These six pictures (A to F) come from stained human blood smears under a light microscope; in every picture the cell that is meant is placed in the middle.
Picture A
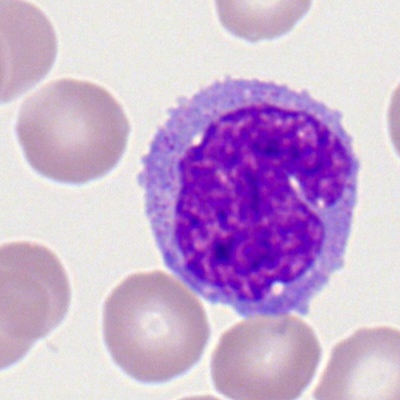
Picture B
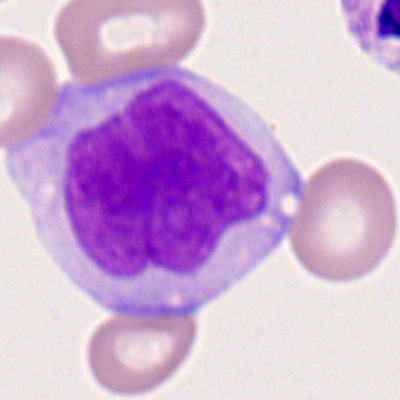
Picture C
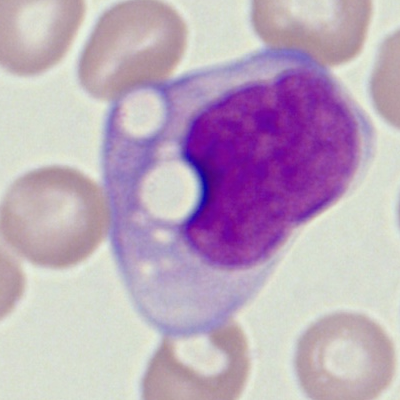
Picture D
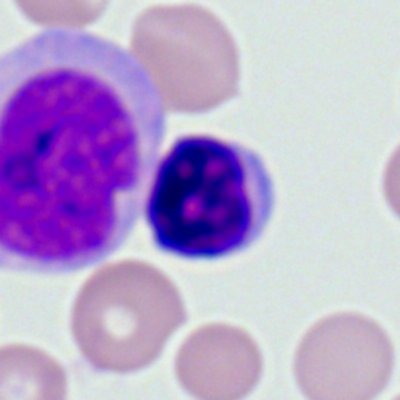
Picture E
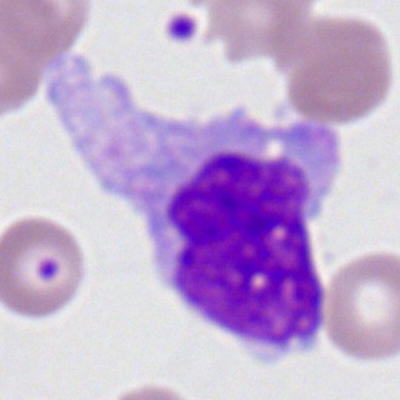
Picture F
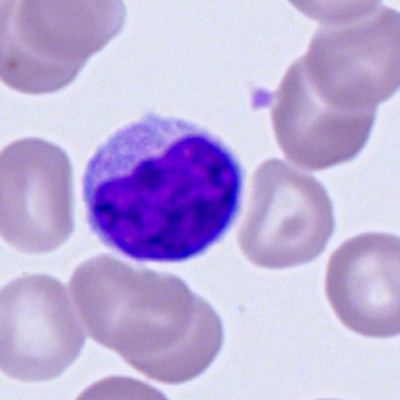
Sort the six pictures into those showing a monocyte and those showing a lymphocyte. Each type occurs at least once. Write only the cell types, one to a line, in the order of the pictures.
monocyte
monocyte
monocyte
lymphocyte
monocyte
lymphocyte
